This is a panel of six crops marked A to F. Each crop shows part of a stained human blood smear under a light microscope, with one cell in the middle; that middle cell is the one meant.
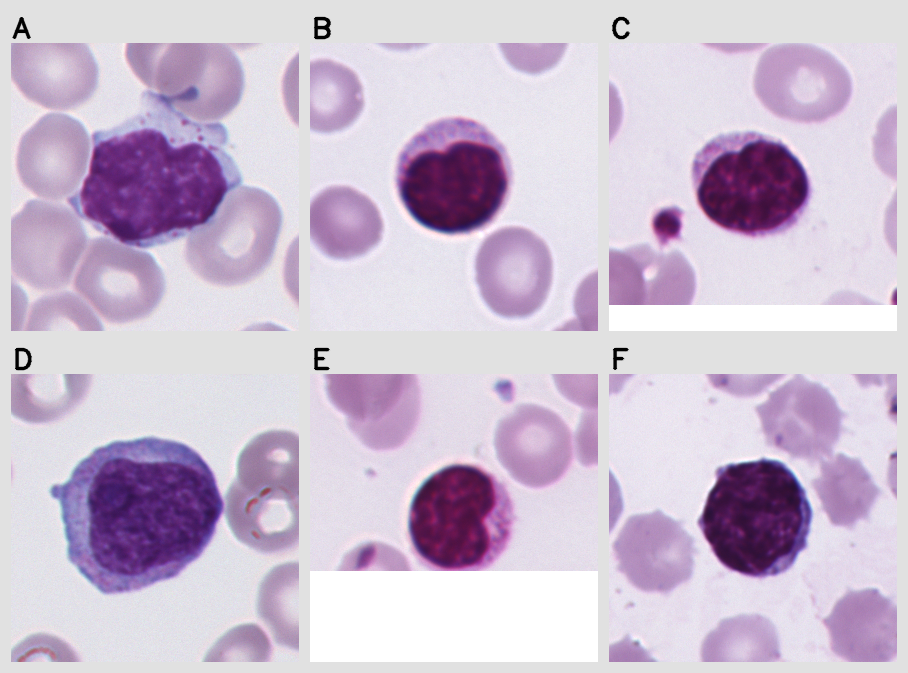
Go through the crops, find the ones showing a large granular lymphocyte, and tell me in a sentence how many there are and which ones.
Answer for the set: four crops show large granular lymphocytes, namely crops A, B, C and E.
